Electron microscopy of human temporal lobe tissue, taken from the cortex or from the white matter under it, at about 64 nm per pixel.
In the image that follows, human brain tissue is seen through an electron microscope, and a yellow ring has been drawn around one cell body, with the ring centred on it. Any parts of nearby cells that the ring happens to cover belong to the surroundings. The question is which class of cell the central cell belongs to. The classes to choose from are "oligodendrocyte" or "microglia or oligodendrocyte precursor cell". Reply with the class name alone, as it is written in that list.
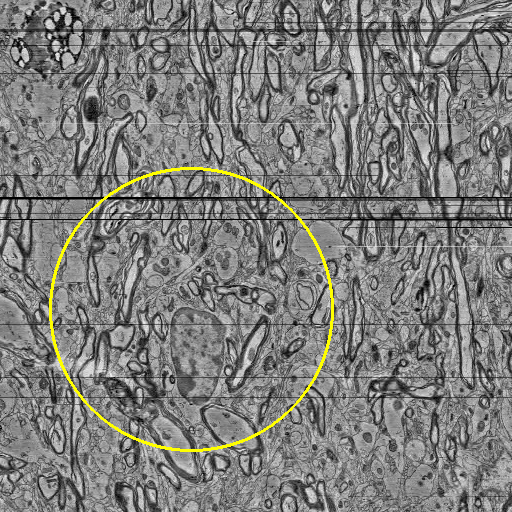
microglia or oligodendrocyte precursor cell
